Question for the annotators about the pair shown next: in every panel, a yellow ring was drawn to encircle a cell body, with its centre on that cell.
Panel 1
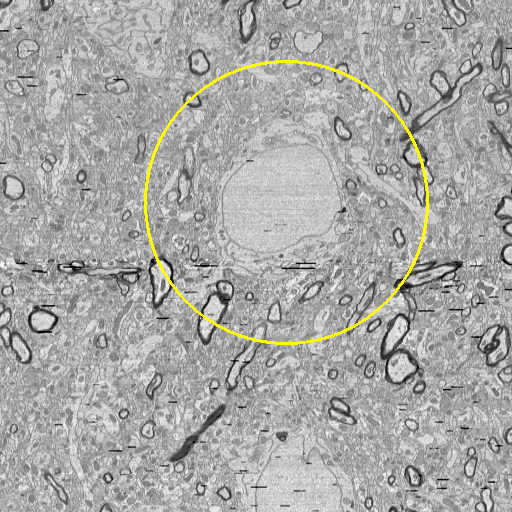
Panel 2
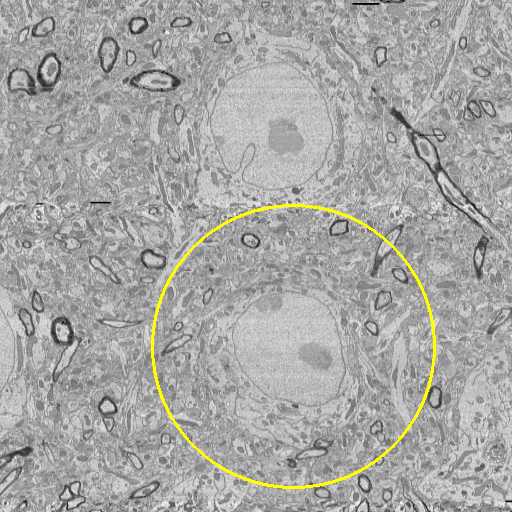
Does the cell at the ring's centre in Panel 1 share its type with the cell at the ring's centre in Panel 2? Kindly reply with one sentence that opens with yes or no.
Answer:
Yes, in Panels 1 and 2 the cells at the ring centres belong to a single type.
